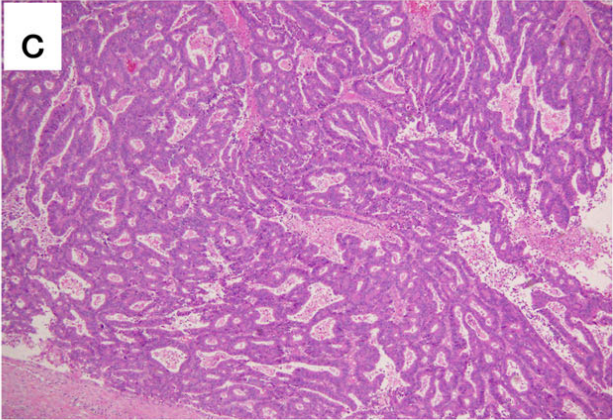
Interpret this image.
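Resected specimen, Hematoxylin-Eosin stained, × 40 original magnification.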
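Here we look at a gland-forming carcinoma at low power. The field is crowded with irregular tubules of many sizes, some branching, some running together back to back, with only thin strands of pale pink connective tissue between them. Each tubule is lined by tall cells whose nuclei are dark purple, elongated and piled up along the lining rather than sitting in one neat row. Glands are still easy to recognise, yet they are far more crowded and misshapen than normal ducts, which fits a tumour that is neither well nor poorly formed.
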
